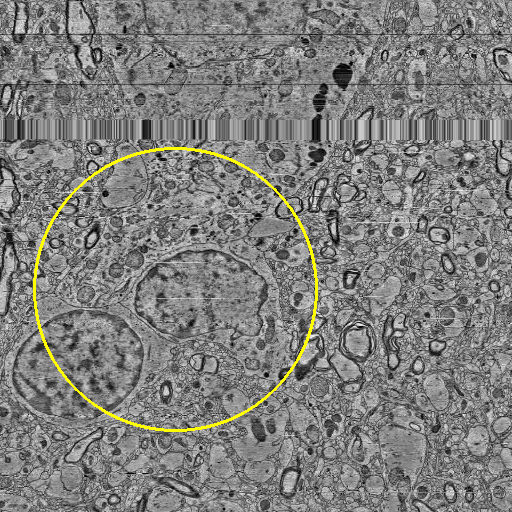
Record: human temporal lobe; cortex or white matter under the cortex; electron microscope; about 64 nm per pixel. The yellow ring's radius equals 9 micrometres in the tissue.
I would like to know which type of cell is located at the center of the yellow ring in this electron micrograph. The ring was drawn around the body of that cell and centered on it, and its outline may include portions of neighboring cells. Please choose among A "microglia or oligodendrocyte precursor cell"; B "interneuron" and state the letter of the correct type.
A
